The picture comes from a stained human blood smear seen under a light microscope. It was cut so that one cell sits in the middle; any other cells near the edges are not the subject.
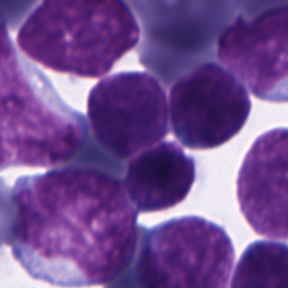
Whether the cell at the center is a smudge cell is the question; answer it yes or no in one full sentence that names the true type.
No, what is centred in the crop is not a smudge cell but a myeloblast.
